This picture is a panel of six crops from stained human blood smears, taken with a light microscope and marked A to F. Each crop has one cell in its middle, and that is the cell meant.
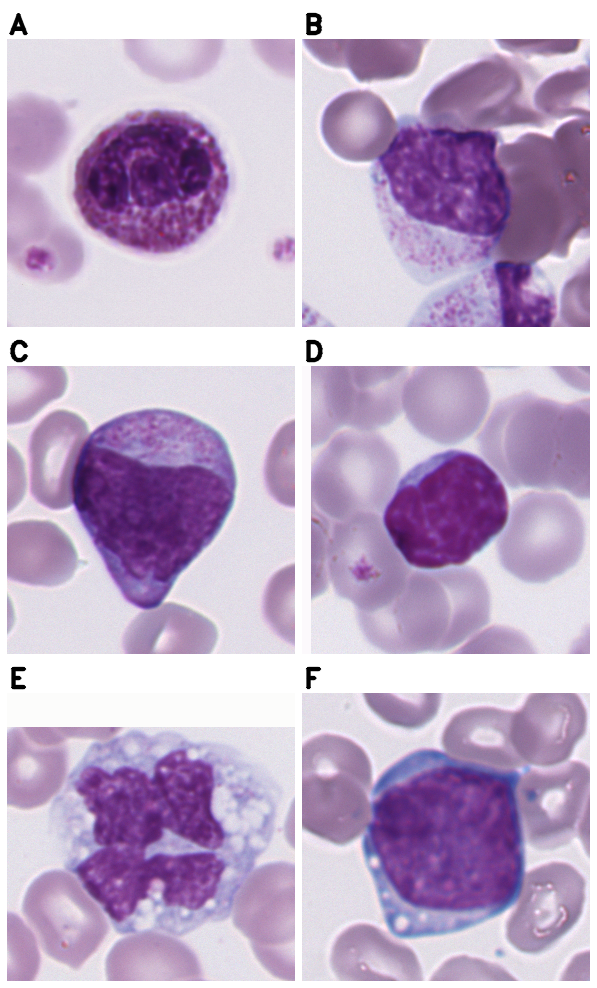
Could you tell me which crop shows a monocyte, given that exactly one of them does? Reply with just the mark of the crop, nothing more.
E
